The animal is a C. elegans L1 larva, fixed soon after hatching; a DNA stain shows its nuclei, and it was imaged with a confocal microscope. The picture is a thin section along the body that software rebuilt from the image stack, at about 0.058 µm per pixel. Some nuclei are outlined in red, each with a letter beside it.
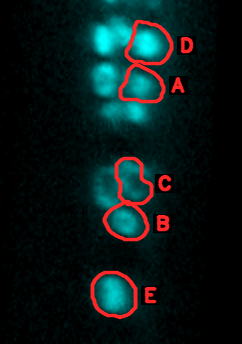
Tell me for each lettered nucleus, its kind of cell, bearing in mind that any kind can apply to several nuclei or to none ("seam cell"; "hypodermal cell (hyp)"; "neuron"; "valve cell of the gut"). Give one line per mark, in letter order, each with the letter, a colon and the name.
A: neuron
B: neuron
C: seam cell
D: neuron
E: hypodermal cell (hyp)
